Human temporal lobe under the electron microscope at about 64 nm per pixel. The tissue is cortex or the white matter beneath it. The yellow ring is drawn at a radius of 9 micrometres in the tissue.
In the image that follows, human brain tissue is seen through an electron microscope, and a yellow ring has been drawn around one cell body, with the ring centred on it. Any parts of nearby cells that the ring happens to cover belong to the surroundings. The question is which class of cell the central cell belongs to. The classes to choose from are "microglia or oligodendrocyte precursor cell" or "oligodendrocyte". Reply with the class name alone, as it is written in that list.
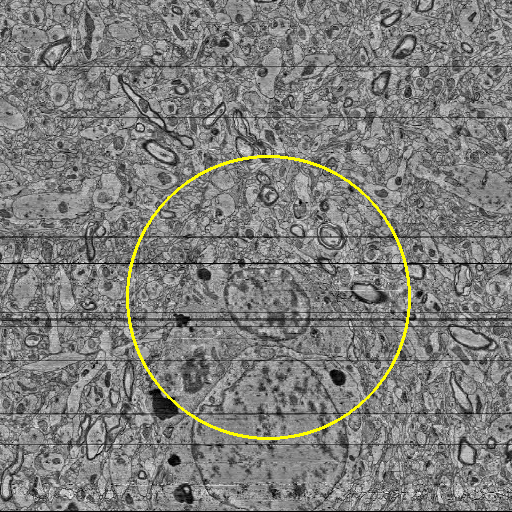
oligodendrocyte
